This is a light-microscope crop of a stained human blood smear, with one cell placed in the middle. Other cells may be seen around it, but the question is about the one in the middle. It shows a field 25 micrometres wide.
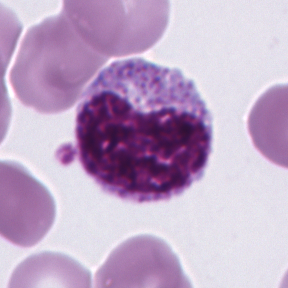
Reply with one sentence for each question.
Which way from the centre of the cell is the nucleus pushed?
The nucleus is pushed toward the bottom of the cell.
